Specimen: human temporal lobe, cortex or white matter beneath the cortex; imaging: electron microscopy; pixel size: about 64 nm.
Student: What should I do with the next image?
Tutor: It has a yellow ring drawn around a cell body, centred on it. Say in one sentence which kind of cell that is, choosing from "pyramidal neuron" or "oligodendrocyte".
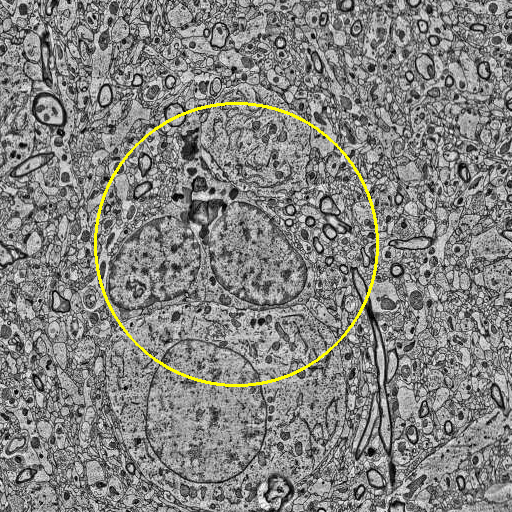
The ring's centre is occupied by an oligodendrocyte.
